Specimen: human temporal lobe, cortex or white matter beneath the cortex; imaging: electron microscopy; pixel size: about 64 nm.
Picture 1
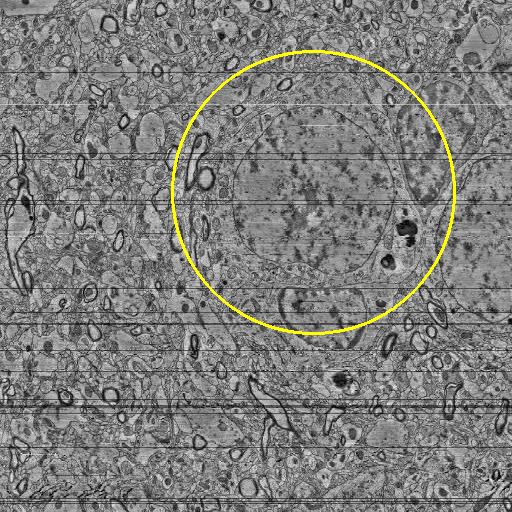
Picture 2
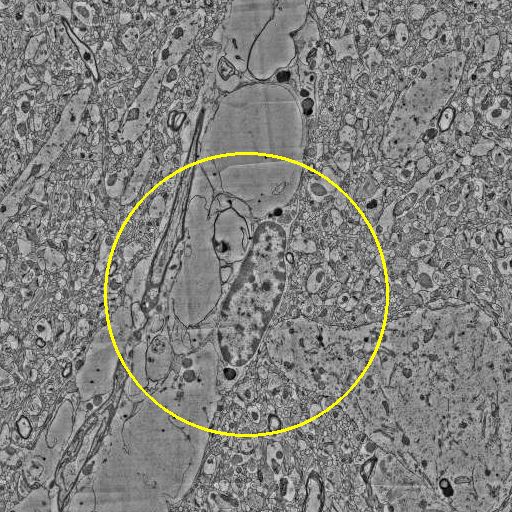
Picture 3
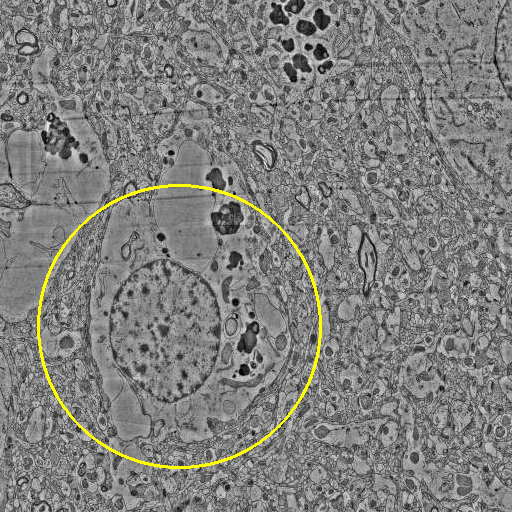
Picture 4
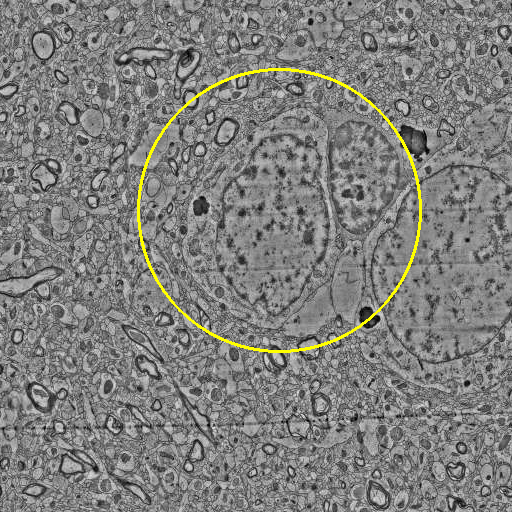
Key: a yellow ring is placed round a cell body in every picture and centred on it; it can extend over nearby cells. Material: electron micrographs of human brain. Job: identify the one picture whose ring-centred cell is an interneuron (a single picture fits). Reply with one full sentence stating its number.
Picture 4 is the one with the sought cell at the centre of its ring.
